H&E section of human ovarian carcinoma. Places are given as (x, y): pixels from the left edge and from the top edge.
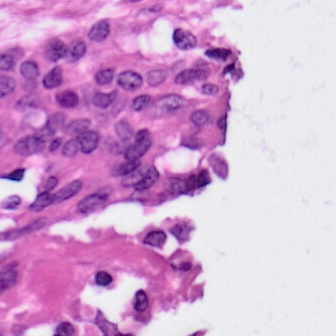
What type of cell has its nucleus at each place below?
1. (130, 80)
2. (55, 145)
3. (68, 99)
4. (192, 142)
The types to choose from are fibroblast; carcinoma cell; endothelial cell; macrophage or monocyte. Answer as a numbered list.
1. macrophage or monocyte
2. carcinoma cell
3. carcinoma cell
4. carcinoma cell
